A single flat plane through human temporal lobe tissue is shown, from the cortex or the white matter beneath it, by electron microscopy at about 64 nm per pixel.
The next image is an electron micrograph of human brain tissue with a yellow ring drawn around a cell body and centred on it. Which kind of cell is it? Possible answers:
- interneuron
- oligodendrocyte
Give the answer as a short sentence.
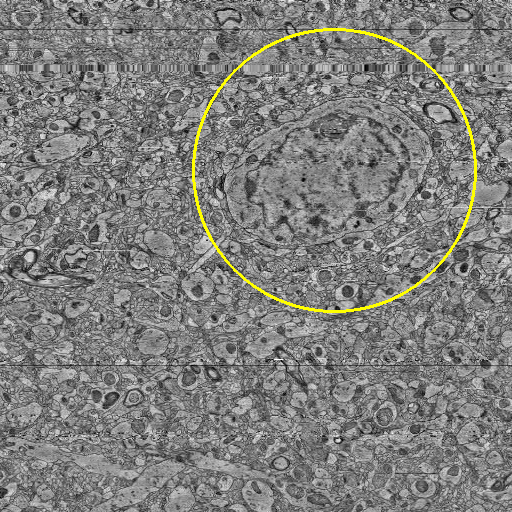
In the ring's centre is an interneuron.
